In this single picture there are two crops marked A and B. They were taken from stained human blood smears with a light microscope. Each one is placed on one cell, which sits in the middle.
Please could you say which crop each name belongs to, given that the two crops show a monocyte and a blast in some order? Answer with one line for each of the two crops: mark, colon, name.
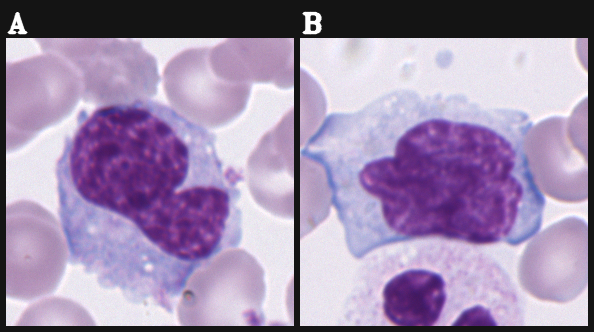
A: monocyte
B: blast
